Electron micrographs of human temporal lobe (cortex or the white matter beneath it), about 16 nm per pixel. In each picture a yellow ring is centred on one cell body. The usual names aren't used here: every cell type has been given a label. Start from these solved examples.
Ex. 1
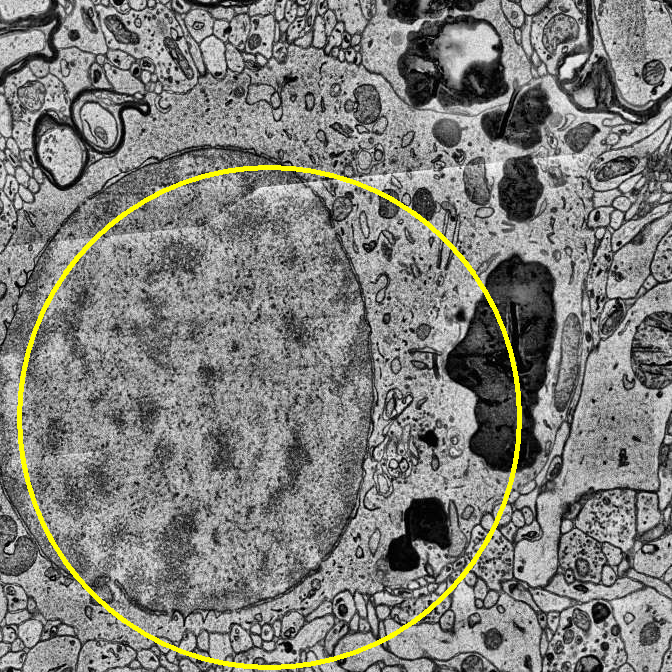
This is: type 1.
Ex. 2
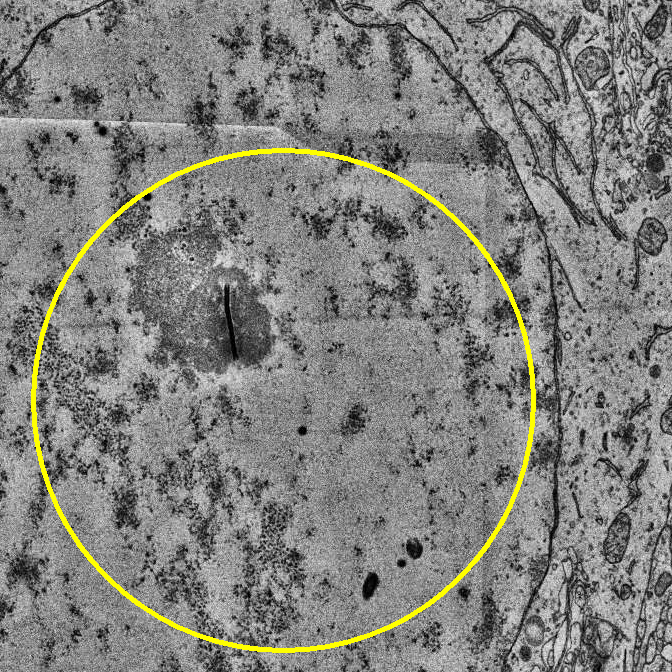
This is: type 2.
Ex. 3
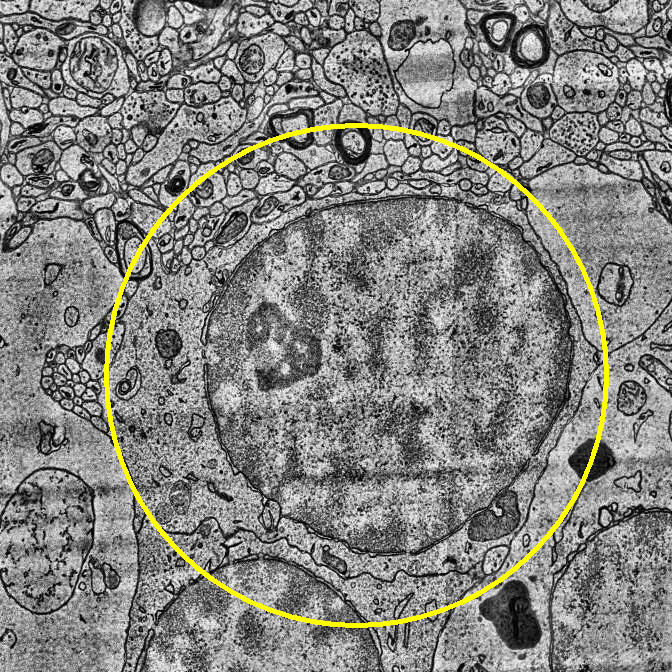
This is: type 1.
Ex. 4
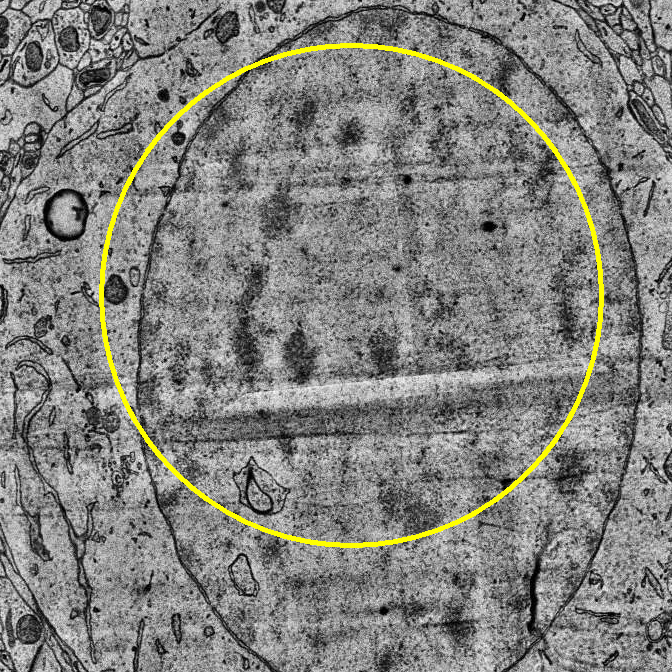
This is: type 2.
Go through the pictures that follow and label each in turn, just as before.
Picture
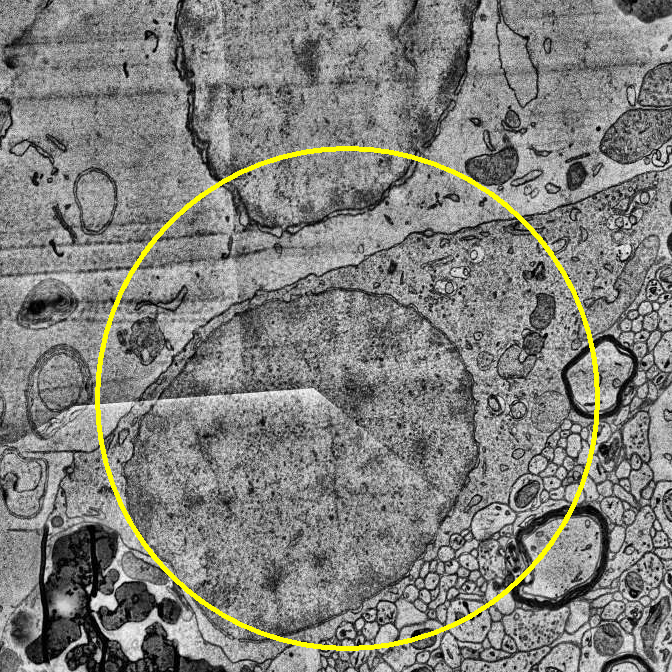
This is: type 1.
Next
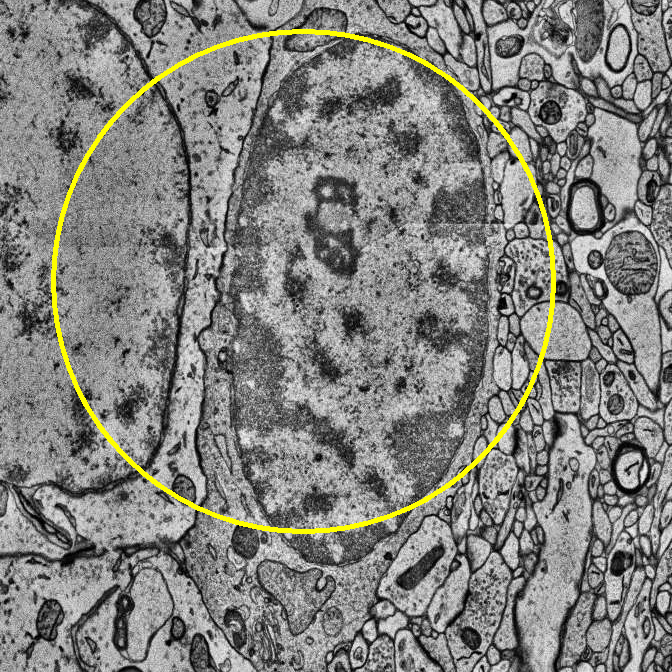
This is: type 1.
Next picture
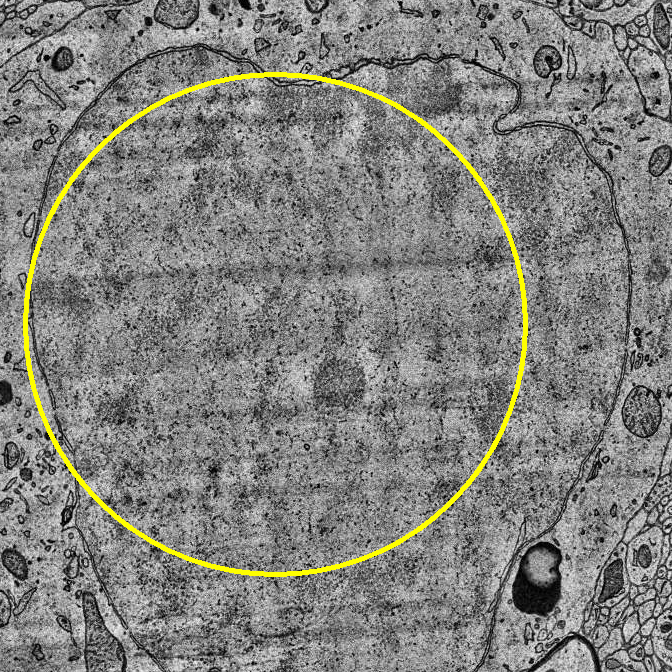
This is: type 2.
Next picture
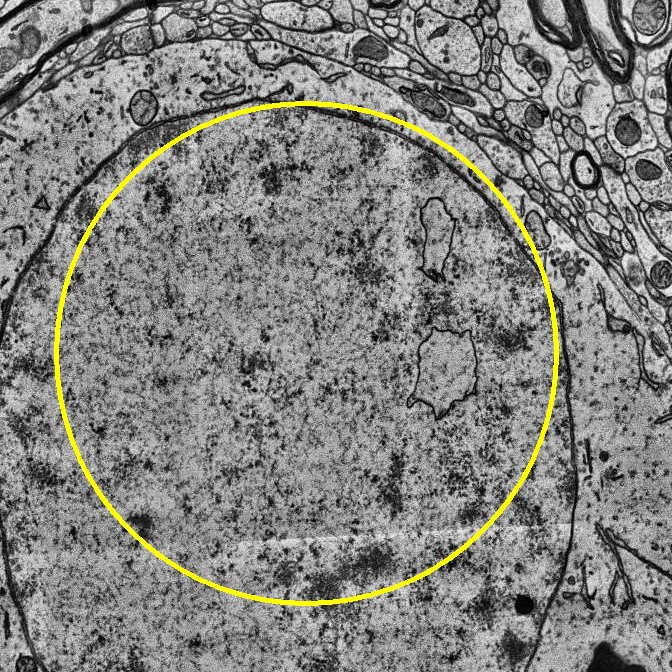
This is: type 2.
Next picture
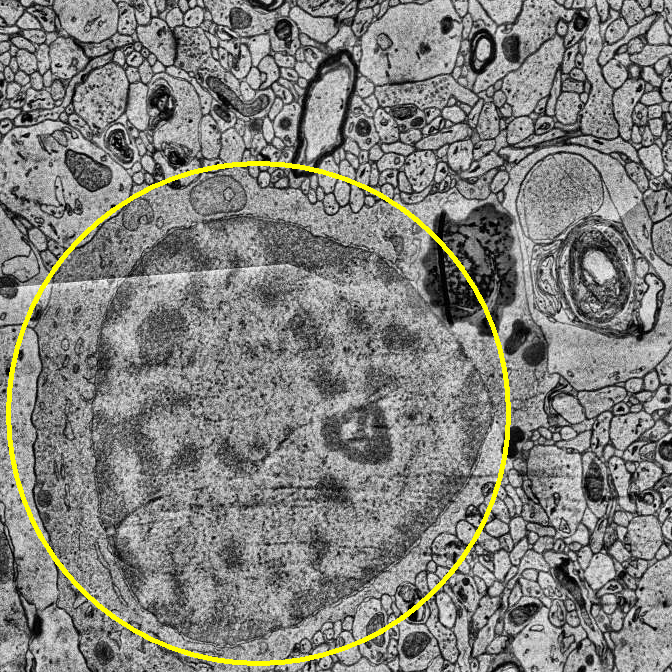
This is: type 1.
